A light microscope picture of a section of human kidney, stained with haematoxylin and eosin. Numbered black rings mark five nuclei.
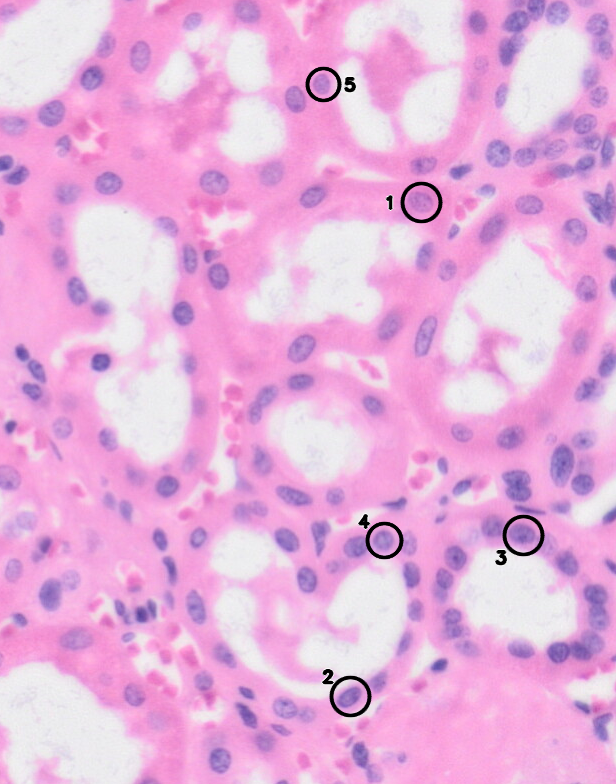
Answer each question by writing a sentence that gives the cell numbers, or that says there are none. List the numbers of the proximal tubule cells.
Within this tissue, the cells numbered 1 and 5 are proximal tubule cells.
